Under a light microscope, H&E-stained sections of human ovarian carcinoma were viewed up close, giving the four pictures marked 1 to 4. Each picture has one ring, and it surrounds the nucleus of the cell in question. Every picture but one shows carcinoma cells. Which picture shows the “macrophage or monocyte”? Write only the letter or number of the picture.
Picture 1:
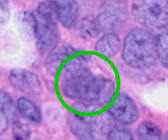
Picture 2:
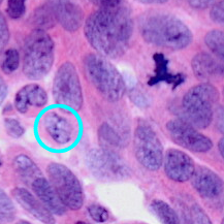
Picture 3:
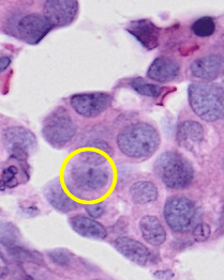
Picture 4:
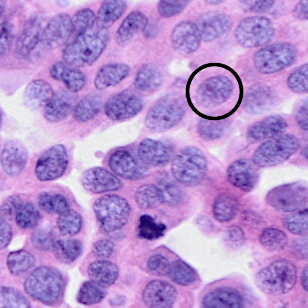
2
